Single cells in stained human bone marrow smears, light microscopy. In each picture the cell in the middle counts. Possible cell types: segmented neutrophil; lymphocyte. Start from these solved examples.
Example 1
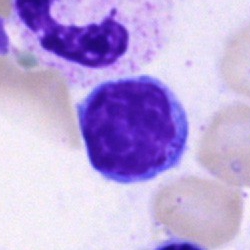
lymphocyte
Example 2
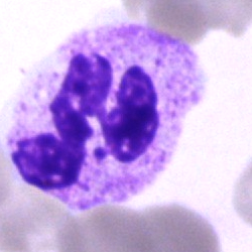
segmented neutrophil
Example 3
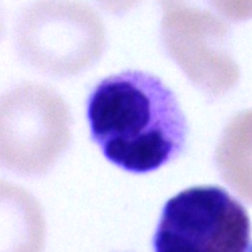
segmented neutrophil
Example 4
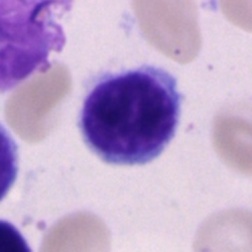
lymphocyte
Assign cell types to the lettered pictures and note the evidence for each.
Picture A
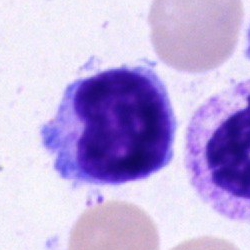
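Answer: lymphocyte. The nucleus fills most of the cell.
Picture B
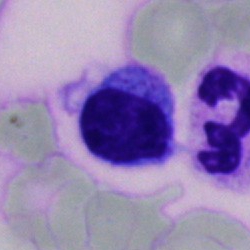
Answer: lymphocyte. The nucleus fills most of the cell.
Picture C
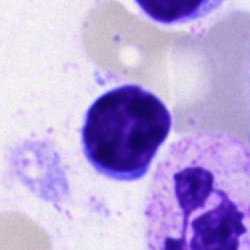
Answer: lymphocyte. The nucleus fills almost the whole cell.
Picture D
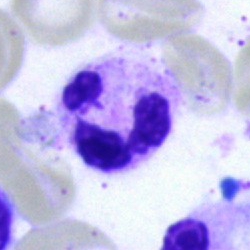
Answer: segmented neutrophil. The cytoplasm is abundant and pale pinkish-lilac.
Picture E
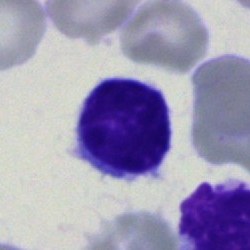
Answer: lymphocyte. The nucleus fills almost the whole cell.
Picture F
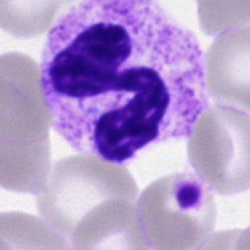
Answer: segmented neutrophil. The cytoplasm is plentiful and pale lilac-pink.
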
